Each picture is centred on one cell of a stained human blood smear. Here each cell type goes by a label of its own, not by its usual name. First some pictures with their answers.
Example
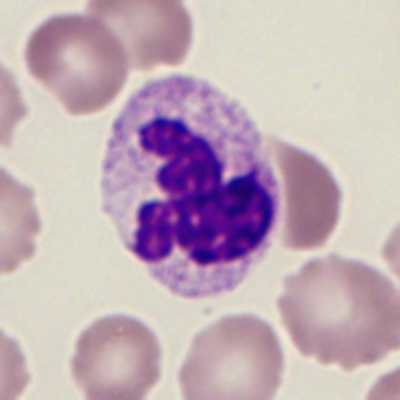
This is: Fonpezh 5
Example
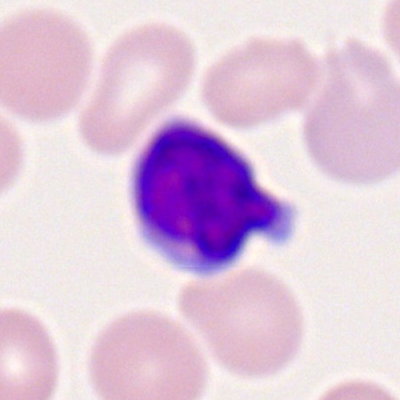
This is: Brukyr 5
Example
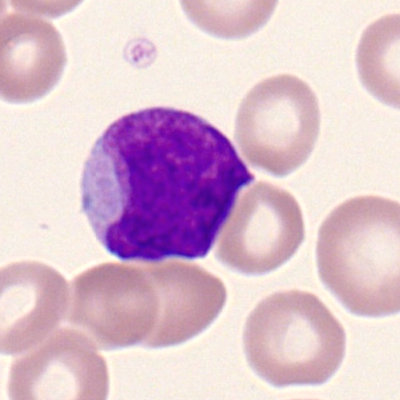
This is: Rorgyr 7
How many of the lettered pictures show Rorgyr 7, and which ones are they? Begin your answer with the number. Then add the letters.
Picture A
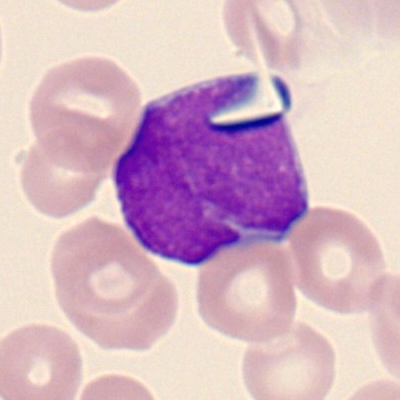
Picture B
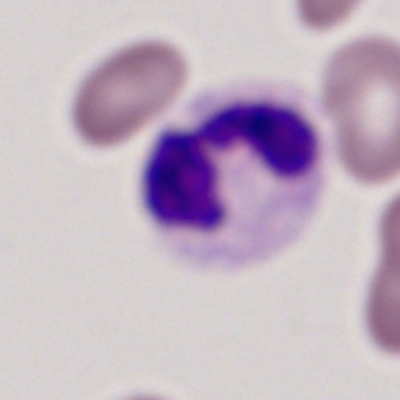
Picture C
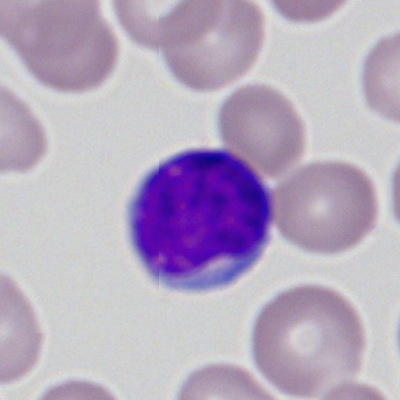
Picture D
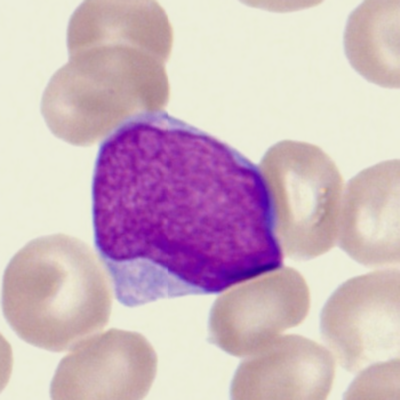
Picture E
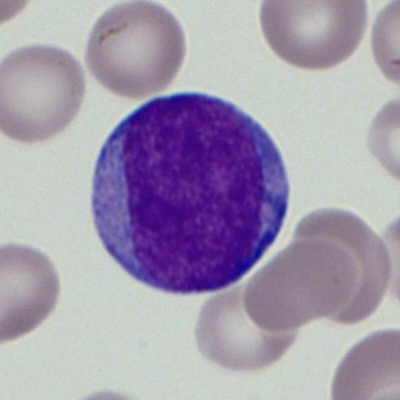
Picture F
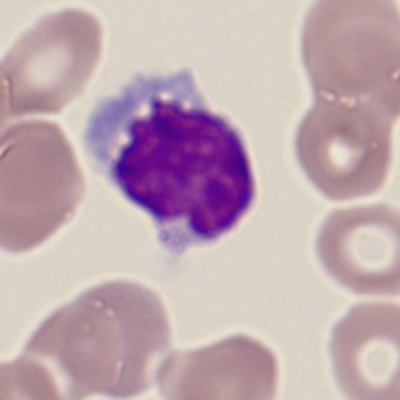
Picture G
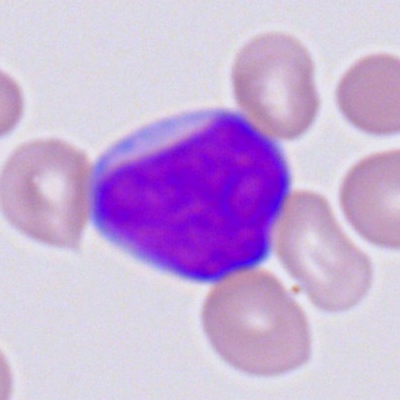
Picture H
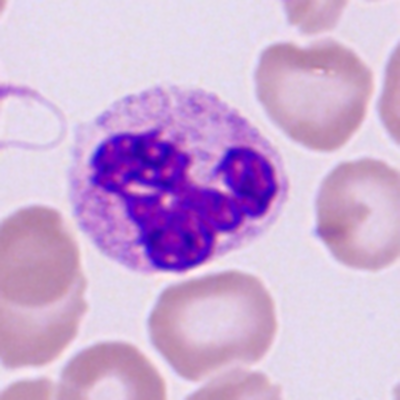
4: A, D, E, G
